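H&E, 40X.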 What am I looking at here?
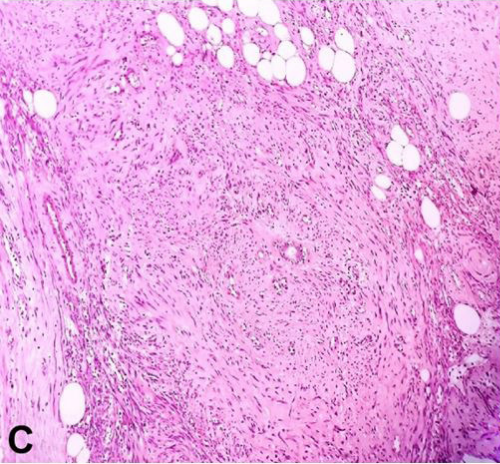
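This low-power view shows a hypercellular stroma made of densely packed spindle cells in pink fibrous tissue, arranged in sweeping bundles. At the top lies a cluster of fat cells, seen as round empty clear spaces, and single fat cells are scattered through the stroma elsewhere. A small vessel runs along the left side.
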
